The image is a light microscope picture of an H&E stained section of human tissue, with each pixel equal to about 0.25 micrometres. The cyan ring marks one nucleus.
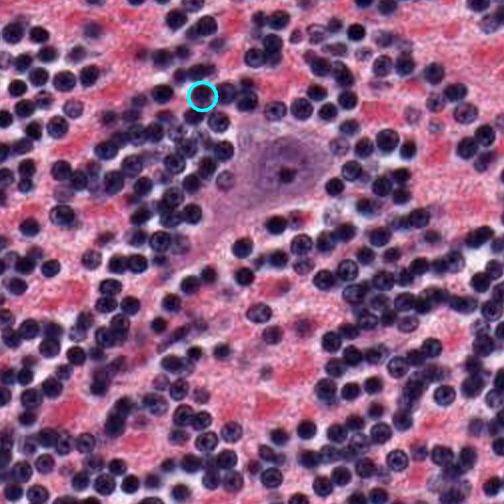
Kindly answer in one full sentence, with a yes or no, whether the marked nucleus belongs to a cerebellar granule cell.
Yes, the marked nucleus, in this picture, is that of a cerebellar granule cell.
